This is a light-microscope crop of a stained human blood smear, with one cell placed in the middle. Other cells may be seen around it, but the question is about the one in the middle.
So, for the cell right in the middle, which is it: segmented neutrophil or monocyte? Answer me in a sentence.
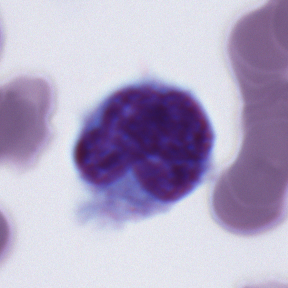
As for the cell in the middle, it is a monocyte.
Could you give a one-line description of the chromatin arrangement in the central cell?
You can see that its chromatin is coarsely clumped.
